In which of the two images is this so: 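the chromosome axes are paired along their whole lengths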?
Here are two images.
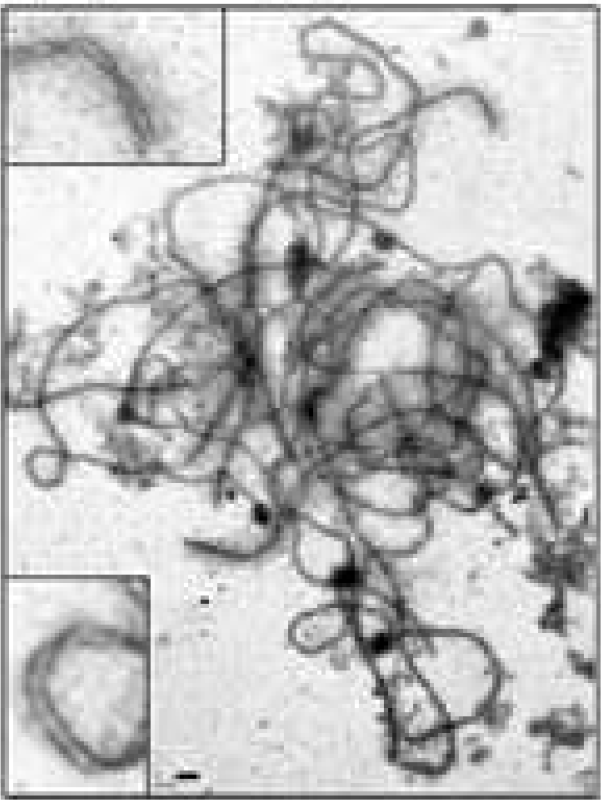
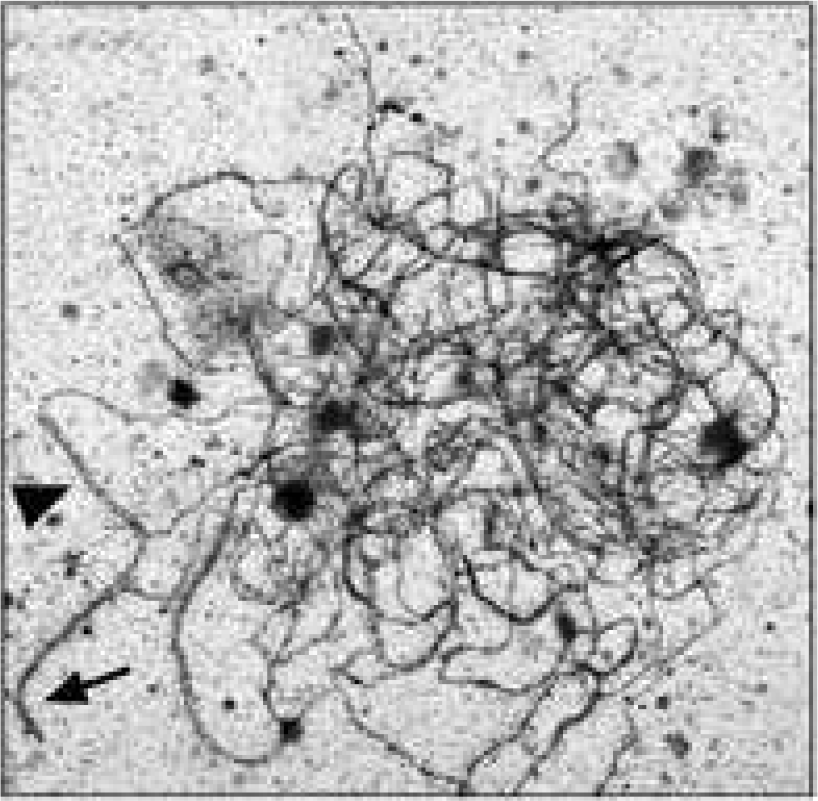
the first image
